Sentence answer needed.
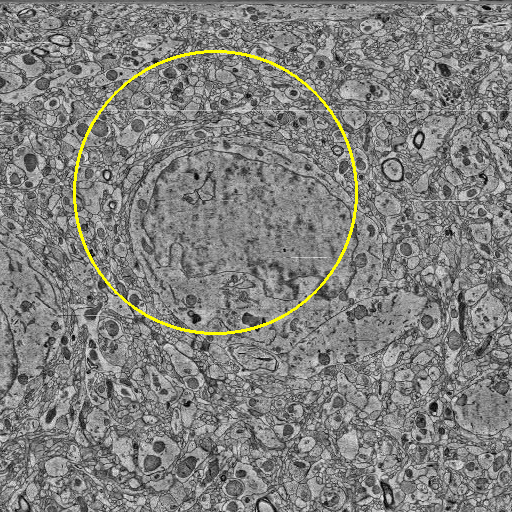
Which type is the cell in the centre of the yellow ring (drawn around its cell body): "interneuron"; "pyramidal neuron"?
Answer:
In the centre of the yellow ring is an interneuron.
